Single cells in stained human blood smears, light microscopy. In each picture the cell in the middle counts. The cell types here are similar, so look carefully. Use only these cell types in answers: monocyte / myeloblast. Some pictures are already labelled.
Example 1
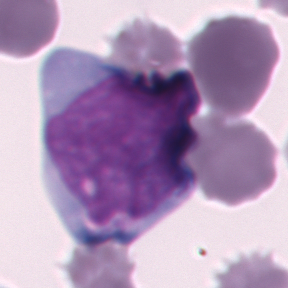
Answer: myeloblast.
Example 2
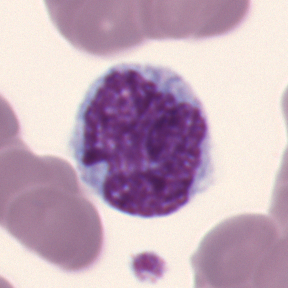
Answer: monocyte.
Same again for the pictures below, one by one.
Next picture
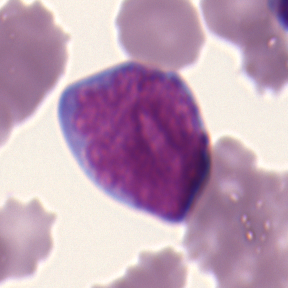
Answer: myeloblast.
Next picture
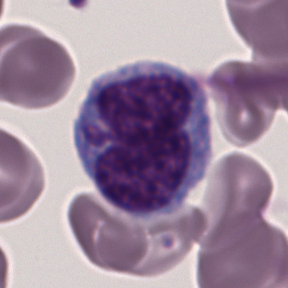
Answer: monocyte.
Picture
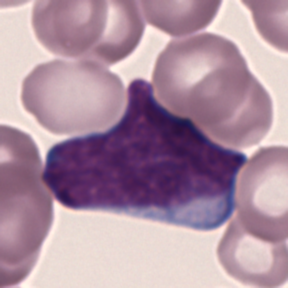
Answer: myeloblast.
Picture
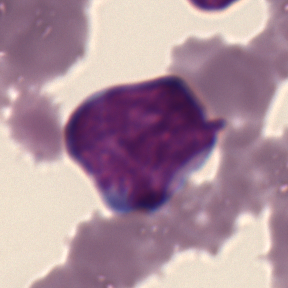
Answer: myeloblast.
